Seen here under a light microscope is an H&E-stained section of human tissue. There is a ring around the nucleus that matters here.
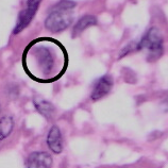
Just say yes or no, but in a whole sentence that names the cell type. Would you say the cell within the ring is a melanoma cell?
Yes, the classification of the cell within the ring as a melanoma cell is accurate.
